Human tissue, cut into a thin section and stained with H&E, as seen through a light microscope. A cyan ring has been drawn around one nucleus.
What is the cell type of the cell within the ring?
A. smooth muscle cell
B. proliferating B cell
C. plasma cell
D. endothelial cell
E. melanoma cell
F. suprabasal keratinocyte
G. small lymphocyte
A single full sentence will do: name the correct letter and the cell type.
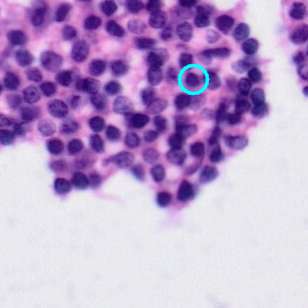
Option G is accurate, for the cell within the ring is a small lymphocyte.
